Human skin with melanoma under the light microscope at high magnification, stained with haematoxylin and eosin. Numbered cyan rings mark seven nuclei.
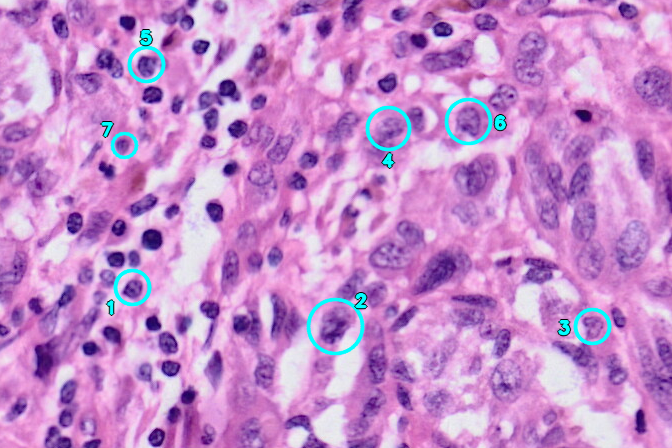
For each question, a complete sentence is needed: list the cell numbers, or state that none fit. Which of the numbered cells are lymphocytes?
Within this tissue, the cells numbered 1, 5 and 7 are lymphocytes.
